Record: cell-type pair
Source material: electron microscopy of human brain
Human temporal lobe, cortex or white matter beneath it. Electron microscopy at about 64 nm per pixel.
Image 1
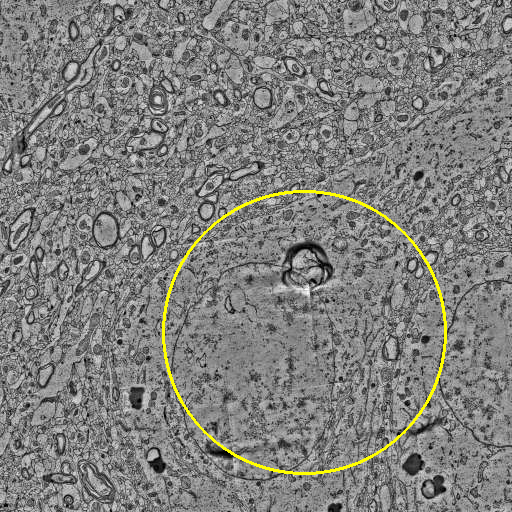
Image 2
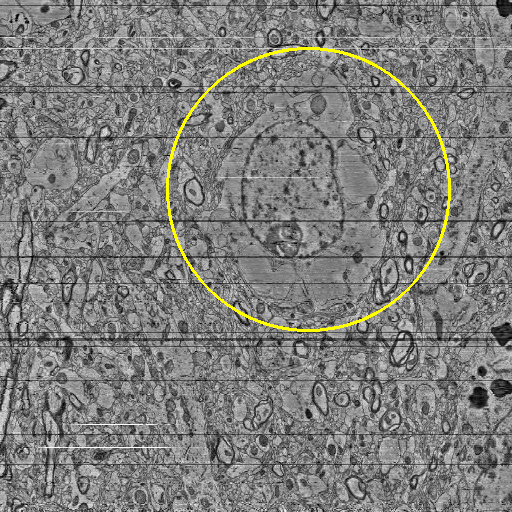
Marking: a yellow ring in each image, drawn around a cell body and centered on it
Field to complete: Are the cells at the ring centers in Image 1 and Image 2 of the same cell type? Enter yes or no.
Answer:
no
